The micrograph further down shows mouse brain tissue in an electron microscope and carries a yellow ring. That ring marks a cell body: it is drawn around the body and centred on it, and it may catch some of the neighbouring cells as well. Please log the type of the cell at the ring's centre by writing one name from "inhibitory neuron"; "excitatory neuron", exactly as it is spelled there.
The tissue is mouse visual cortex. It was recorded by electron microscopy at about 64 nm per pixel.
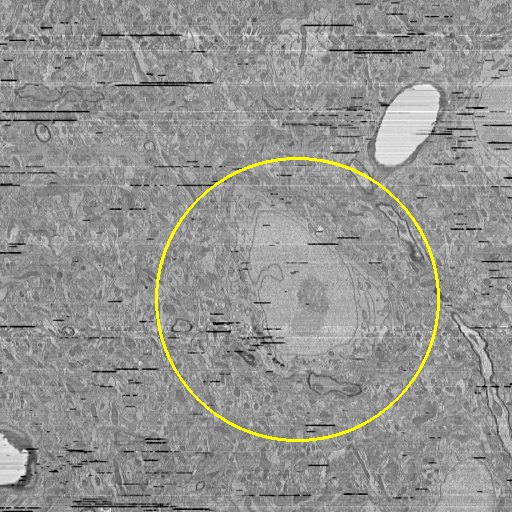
inhibitory neuron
